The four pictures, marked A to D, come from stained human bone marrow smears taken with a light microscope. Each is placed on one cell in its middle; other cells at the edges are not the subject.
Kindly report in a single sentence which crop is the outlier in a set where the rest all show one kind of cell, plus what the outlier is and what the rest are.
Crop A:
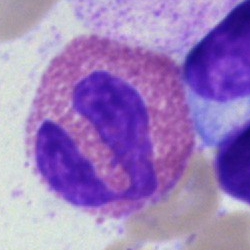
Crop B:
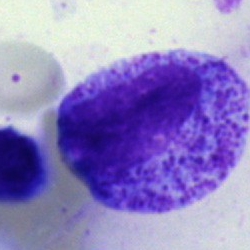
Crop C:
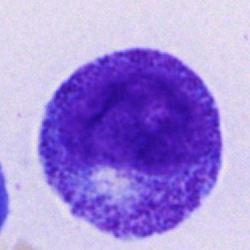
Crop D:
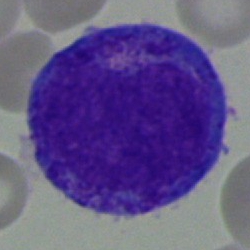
All of the other crops show promyelocytes; crop A, by contrast, is an eosinophil.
